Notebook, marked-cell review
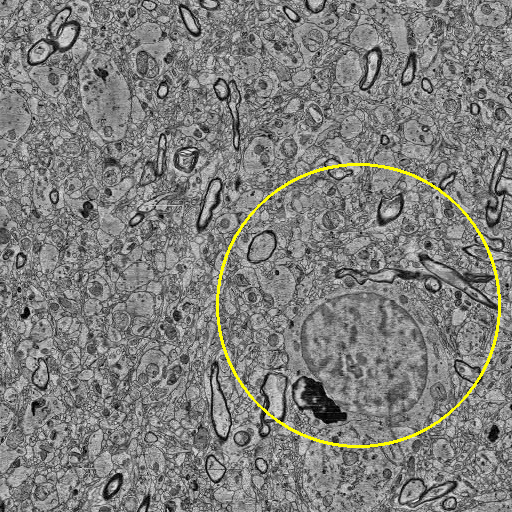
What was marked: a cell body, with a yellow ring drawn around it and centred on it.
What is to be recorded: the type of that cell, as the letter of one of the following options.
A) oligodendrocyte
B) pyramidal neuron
A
